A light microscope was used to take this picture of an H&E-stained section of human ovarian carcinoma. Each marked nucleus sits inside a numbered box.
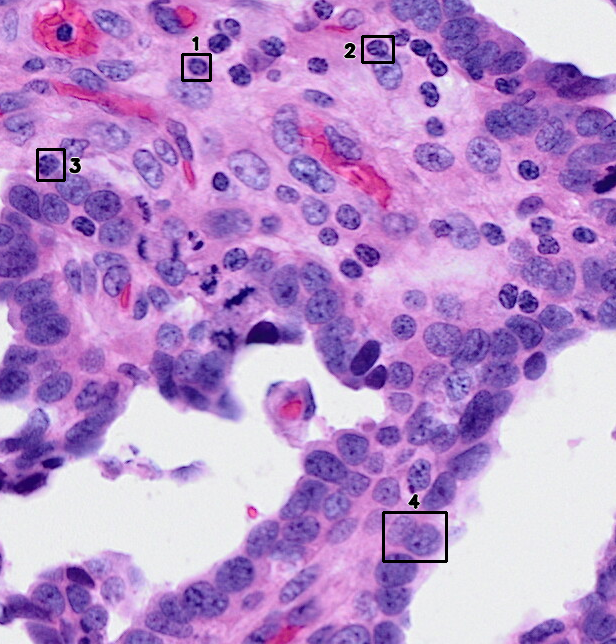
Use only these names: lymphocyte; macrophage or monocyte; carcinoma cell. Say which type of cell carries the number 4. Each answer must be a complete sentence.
Among the marked nuclei, number 4 belongs to a carcinoma cell.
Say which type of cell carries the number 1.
The nucleus labeled 1 belongs to a lymphocyte.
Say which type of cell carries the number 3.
Here, the cell given the number 3 is a lymphocyte.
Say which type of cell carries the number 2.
The correct label for cell 2 is a lymphocyte.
